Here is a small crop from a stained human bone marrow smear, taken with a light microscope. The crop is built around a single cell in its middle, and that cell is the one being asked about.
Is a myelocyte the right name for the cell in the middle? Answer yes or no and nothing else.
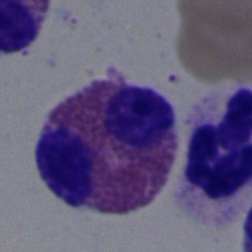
no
